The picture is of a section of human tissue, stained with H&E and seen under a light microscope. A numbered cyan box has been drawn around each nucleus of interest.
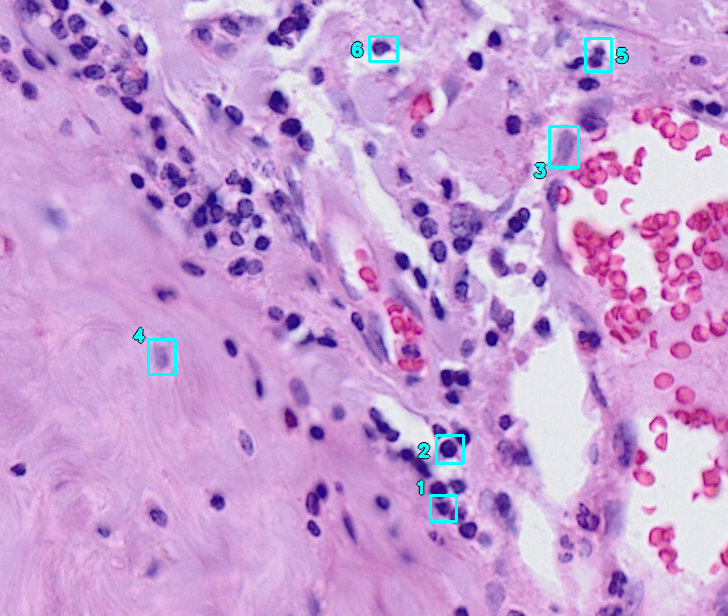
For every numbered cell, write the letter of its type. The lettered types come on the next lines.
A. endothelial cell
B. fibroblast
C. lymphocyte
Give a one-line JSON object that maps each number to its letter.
{"1": "C", "2": "C", "3": "A", "4": "B", "5": "C", "6": "C"}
